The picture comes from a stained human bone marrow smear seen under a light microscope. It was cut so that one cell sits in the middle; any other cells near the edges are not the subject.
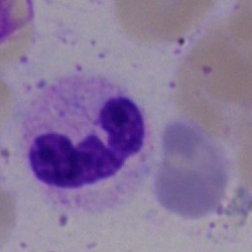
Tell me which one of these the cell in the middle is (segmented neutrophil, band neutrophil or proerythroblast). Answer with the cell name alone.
segmented neutrophil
